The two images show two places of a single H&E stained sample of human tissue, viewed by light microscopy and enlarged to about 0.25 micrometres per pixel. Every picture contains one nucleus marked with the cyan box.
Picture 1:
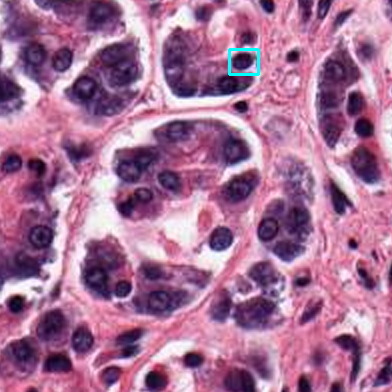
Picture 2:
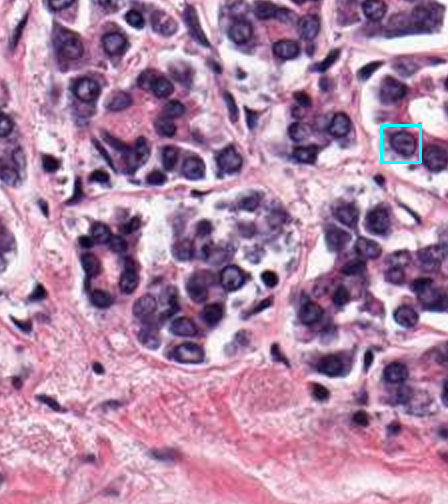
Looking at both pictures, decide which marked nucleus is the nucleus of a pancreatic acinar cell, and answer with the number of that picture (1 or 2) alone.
2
